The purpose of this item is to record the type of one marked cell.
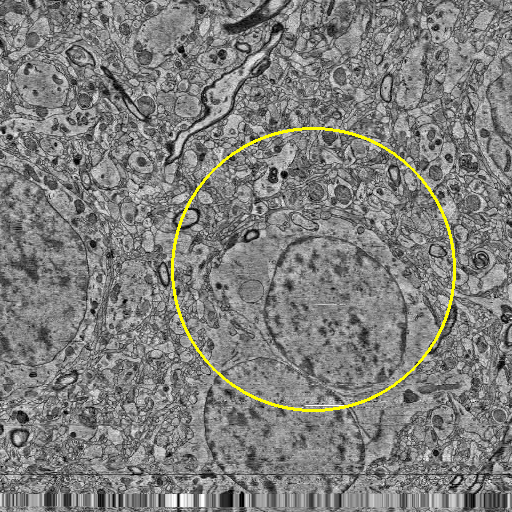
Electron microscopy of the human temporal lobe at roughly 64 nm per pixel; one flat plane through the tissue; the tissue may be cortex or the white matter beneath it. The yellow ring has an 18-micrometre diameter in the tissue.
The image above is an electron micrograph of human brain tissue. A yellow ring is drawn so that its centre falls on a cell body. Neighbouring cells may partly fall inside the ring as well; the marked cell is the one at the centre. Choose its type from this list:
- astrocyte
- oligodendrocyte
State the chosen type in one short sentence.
What the ring marks here is an astrocyte.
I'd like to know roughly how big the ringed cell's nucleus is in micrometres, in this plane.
In this plane, about 11 micrometres in length and 9 in width.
